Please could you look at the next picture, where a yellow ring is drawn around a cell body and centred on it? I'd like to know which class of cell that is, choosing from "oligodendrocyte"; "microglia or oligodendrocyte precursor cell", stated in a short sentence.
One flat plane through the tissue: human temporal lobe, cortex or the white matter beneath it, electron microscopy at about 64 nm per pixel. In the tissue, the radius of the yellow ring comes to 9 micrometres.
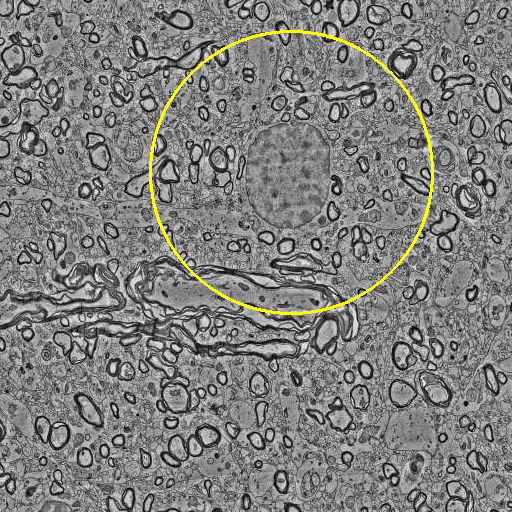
The ring's centre lies on an oligodendrocyte.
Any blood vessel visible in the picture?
No.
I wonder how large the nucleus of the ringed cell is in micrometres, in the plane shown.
Approximately 7 micrometres across, in this plane.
